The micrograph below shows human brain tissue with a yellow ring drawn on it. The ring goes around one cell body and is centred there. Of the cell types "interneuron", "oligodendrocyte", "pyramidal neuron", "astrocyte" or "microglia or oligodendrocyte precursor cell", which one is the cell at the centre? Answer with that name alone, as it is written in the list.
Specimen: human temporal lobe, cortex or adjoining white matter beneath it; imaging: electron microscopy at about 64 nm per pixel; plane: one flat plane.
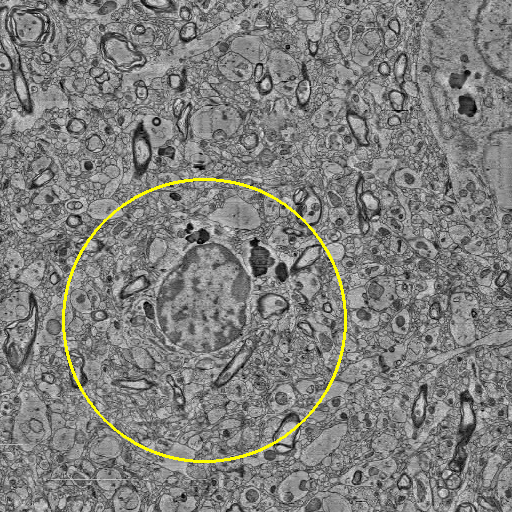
microglia or oligodendrocyte precursor cell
